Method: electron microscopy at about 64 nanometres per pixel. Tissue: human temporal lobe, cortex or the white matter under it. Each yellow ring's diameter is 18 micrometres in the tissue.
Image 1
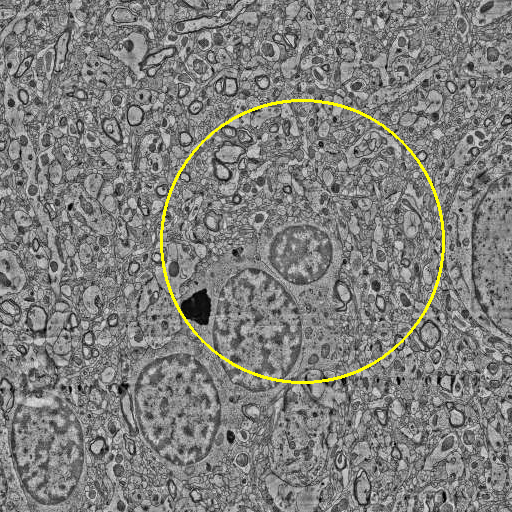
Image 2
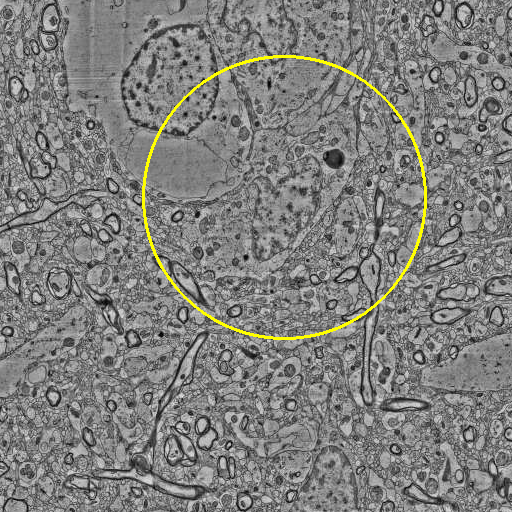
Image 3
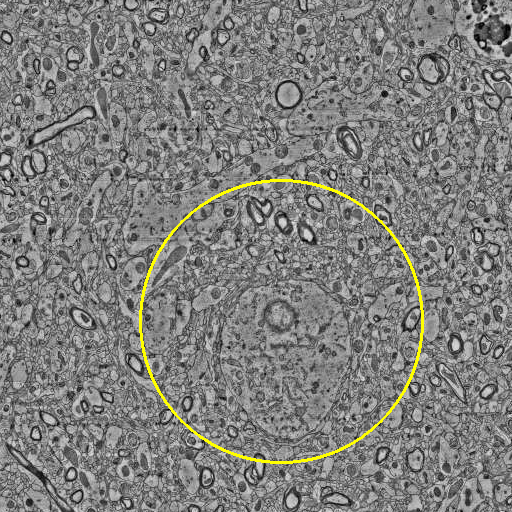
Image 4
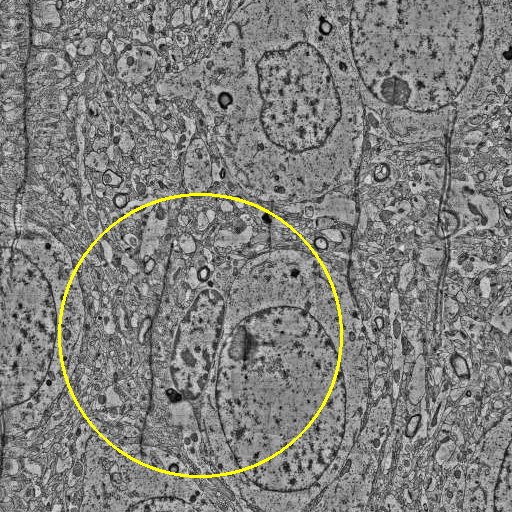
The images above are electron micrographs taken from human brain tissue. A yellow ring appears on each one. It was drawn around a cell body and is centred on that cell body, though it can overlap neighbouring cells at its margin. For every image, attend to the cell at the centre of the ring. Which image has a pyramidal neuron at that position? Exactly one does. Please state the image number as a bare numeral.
3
